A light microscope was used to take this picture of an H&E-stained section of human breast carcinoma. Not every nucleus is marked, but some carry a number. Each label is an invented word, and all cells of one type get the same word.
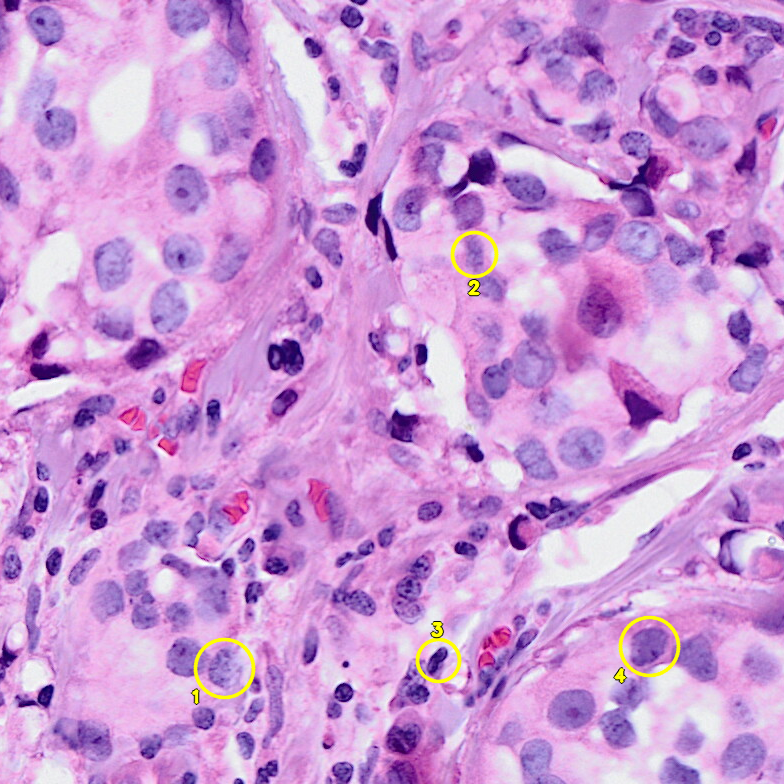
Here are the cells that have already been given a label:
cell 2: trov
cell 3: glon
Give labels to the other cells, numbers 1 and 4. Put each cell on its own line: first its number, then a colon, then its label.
1: trov
4: trov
